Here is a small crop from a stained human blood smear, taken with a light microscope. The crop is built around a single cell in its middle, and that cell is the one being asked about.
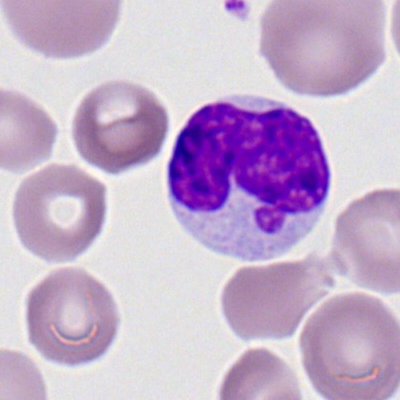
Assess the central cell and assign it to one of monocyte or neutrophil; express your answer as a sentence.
In the central position of this crop, the cell is a monocyte.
